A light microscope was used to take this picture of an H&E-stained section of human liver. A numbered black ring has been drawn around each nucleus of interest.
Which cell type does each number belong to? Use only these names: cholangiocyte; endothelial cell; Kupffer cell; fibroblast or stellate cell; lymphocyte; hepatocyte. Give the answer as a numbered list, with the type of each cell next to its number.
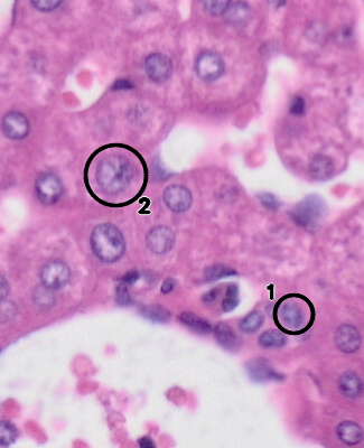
1. cholangiocyte
2. hepatocyte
